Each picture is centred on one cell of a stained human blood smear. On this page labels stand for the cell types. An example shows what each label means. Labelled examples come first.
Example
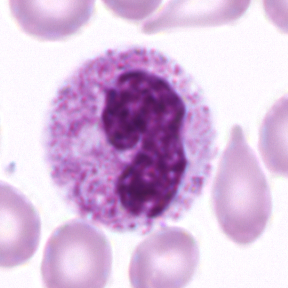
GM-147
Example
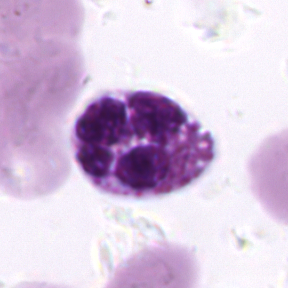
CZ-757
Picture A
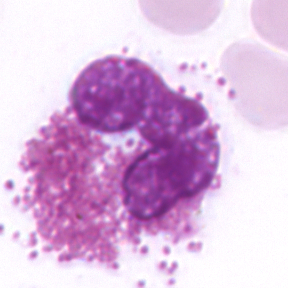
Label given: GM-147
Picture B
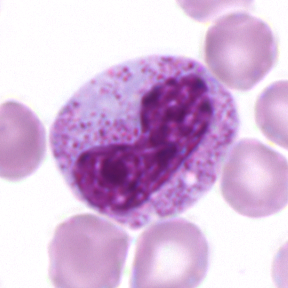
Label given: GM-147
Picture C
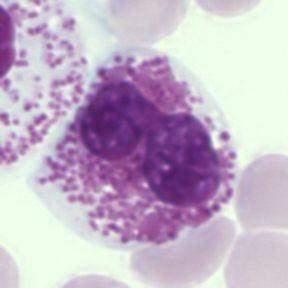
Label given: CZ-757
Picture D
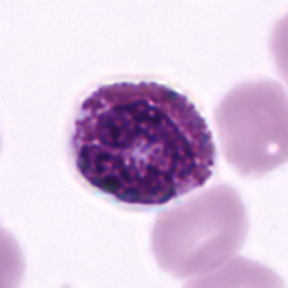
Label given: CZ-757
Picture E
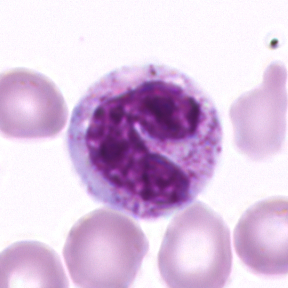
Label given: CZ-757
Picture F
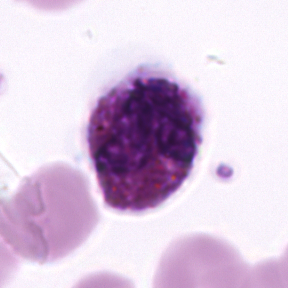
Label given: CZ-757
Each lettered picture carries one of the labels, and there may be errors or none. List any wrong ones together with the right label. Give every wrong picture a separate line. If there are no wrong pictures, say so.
A should be CZ-757, not GM-147
E should be GM-147, not CZ-757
